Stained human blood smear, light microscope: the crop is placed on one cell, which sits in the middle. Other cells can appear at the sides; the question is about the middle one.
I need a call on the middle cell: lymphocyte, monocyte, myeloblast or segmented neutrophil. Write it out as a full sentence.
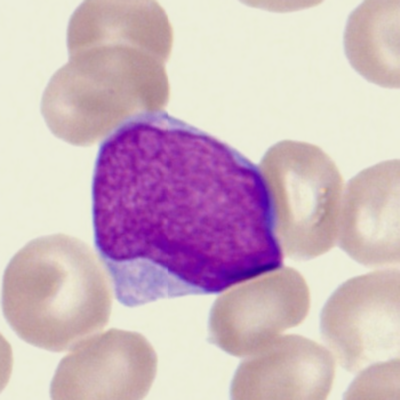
The cell centered in this field of view is a myeloblast.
